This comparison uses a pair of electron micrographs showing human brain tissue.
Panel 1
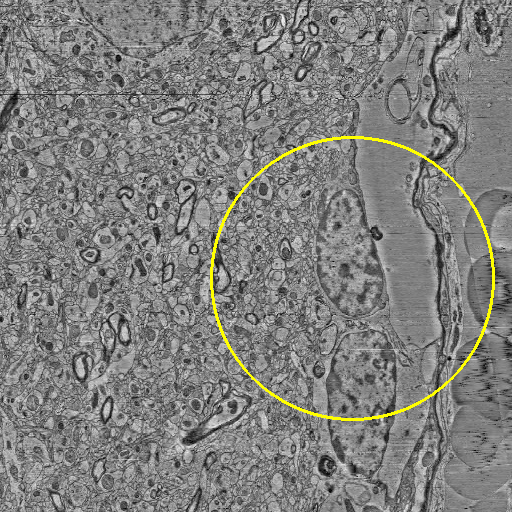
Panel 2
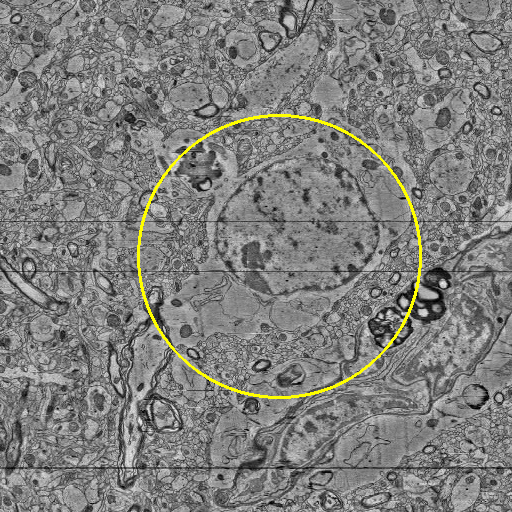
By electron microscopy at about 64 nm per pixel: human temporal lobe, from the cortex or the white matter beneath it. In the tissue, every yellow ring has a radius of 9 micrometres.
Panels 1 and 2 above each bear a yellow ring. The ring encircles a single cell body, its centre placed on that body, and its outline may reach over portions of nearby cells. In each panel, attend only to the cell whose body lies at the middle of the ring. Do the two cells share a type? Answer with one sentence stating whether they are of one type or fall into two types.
In Panel 1 and Panel 2, the cells at the centres of the rings fall into two types.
